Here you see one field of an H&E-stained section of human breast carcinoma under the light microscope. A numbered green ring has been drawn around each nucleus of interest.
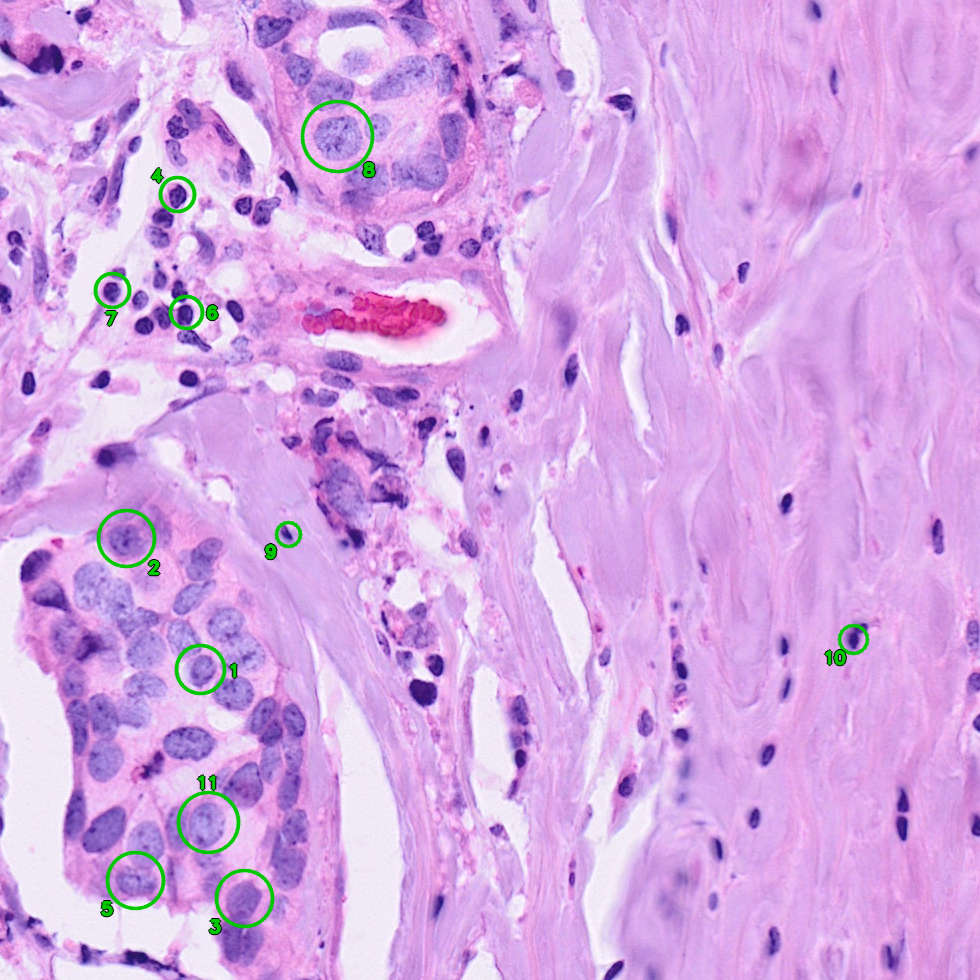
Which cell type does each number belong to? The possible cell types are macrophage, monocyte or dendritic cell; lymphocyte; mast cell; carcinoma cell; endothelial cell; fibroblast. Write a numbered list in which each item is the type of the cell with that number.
1. carcinoma cell
2. carcinoma cell
3. carcinoma cell
4. lymphocyte
5. carcinoma cell
6. lymphocyte
7. lymphocyte
8. carcinoma cell
9. lymphocyte
10. lymphocyte
11. carcinoma cell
